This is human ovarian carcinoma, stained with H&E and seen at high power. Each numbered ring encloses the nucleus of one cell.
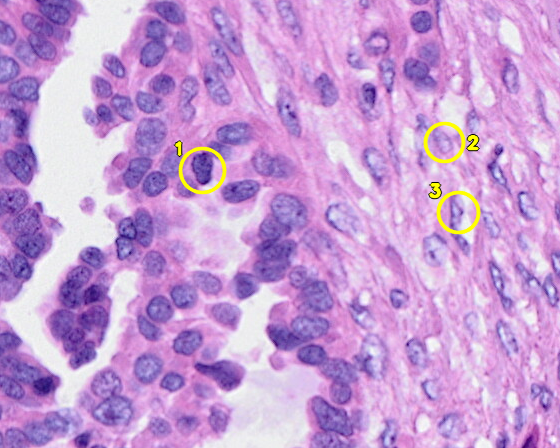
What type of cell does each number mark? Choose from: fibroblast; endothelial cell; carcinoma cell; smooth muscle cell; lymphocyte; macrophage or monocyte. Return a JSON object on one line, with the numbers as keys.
{"1": "carcinoma cell", "2": "fibroblast", "3": "fibroblast"}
